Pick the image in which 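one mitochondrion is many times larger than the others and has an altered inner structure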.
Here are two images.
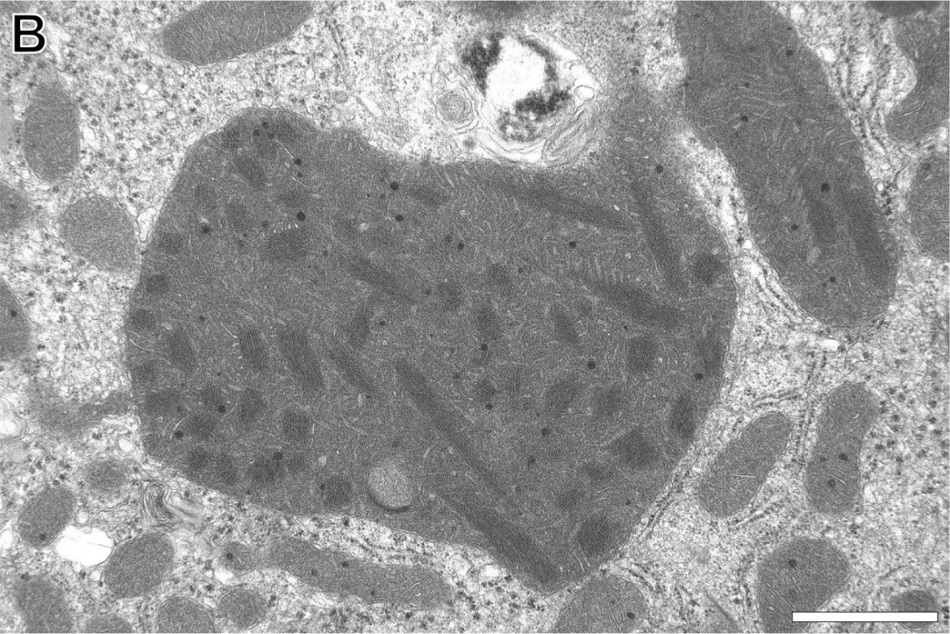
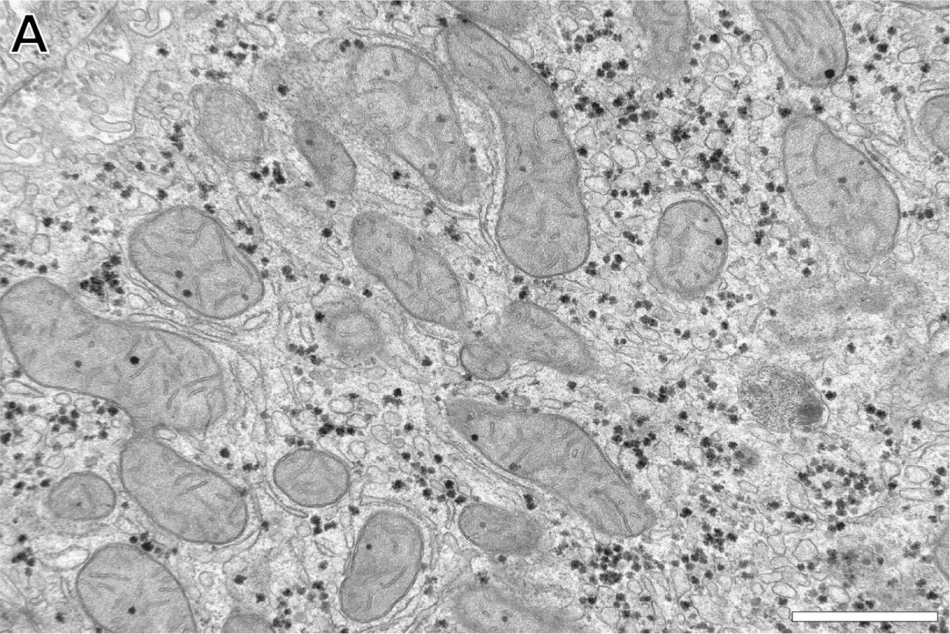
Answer: The first image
